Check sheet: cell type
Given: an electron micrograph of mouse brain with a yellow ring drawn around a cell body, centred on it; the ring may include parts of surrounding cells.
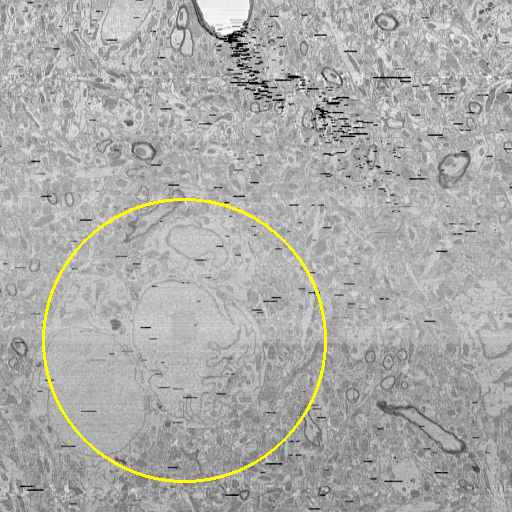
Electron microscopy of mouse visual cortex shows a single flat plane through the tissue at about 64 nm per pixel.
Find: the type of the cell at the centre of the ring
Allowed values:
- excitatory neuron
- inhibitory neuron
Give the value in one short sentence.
Here the ringed cell is an inhibitory neuron.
